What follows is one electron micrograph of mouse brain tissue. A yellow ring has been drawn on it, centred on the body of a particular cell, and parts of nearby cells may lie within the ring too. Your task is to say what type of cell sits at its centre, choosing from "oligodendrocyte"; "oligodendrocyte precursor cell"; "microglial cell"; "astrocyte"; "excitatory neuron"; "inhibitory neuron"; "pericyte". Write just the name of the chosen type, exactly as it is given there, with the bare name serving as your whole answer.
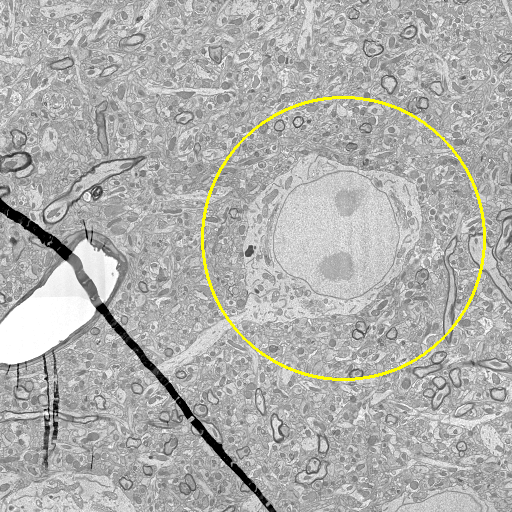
excitatory neuron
